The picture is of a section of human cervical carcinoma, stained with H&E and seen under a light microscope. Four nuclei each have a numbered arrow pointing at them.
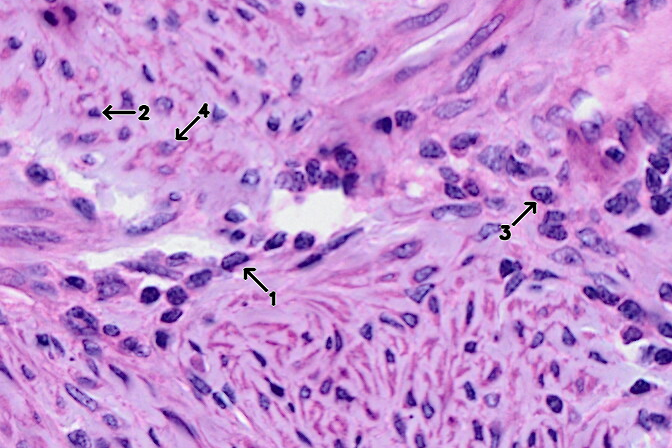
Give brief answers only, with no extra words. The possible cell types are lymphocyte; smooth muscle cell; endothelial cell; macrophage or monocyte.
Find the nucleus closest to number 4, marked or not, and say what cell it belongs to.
smooth muscle cell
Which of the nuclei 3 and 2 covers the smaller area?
2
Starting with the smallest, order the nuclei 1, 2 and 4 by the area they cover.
2, 4, 1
